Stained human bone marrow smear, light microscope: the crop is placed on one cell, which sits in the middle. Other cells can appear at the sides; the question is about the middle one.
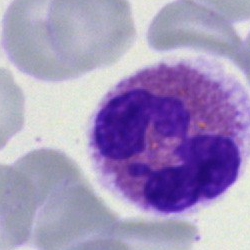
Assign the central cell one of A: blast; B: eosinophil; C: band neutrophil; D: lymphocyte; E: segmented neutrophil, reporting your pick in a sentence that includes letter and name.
In this crop the middle cell is an eosinophil, so option B is the correct answer.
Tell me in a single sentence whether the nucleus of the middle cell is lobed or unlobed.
We find a nucleus divided into at least two lobes.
